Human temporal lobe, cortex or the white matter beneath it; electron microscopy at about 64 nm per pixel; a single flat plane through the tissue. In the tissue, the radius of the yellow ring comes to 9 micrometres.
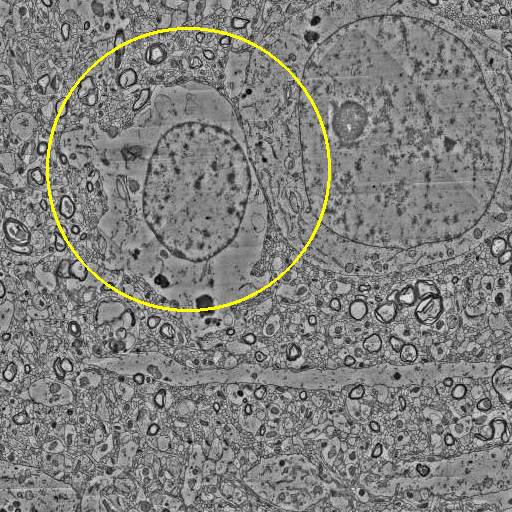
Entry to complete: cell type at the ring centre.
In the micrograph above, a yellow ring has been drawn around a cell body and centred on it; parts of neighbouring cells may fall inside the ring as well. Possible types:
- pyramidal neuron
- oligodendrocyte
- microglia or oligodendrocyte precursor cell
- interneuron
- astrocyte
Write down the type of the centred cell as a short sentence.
The ring is centred on an astrocyte.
